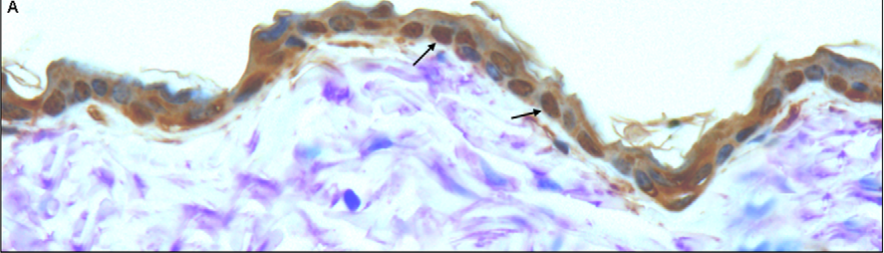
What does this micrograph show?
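Epidermis of skin: a thin epithelium only a few cells thick, with a brown-stained layer of keratinocytes bearing oval nuclei, overlying loose pale dermis. Thin flakes of cornified material lift from the surface, and the dermis below contains scattered purple-blue cells among pale fibres.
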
